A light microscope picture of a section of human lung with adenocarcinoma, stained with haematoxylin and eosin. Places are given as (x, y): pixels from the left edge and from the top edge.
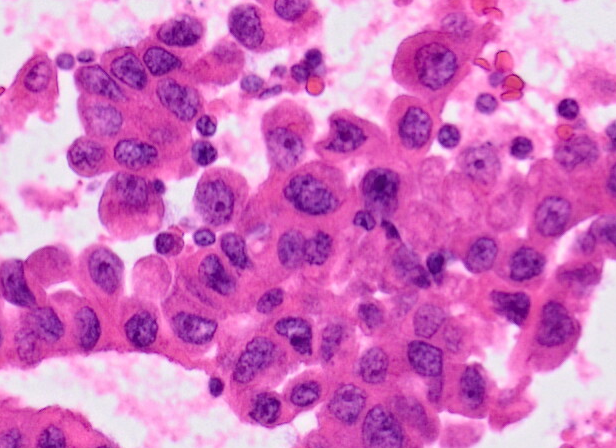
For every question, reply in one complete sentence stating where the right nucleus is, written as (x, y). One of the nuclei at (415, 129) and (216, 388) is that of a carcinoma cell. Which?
The nucleus at (415, 129) is contained in a carcinoma cell.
